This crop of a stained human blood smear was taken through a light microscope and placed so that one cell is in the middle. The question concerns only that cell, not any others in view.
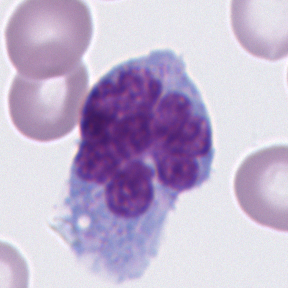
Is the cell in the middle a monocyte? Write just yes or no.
yes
